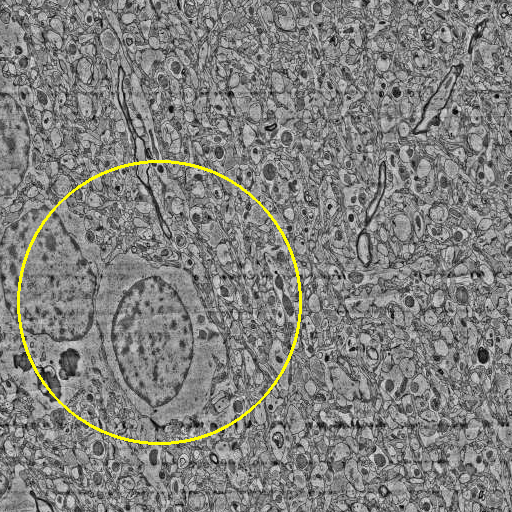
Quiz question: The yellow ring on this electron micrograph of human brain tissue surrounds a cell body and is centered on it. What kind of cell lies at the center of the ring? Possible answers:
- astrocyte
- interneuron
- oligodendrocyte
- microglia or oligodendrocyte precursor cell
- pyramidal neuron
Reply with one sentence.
The ring's center lies on an astrocyte.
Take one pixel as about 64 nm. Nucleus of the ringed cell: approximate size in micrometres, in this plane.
About 8 by 5 micrometres, the nucleus being clearly longer than it is wide in this plane.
